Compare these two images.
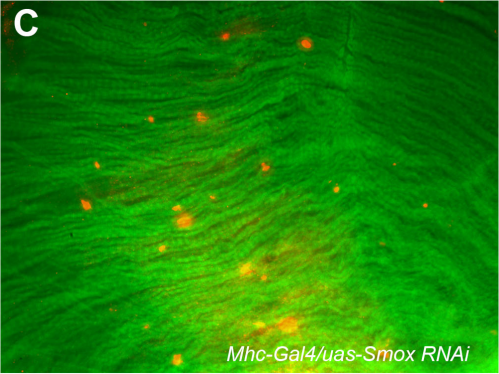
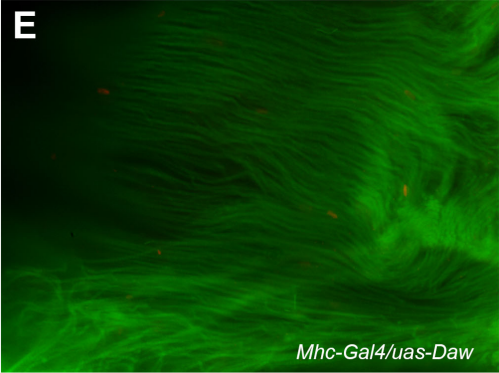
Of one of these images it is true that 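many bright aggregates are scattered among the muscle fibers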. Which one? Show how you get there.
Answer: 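Second image: only a few faint red dots are visible among the fibers. First image: numerous bright red-orange dots are spread over the fibers. That points to this answer: the first image.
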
